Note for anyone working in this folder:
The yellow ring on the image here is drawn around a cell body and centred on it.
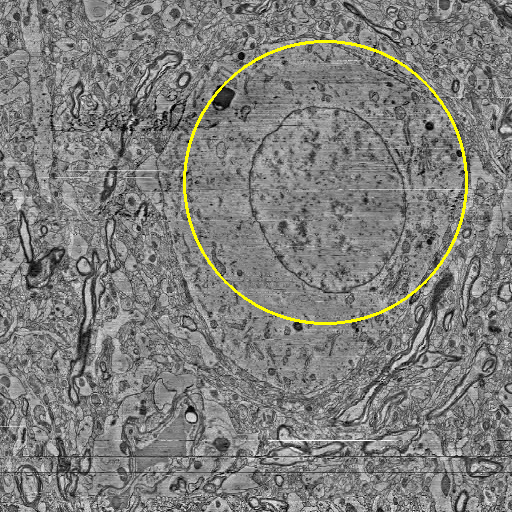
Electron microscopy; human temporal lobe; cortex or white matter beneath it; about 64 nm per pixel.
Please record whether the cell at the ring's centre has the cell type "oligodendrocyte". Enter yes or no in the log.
no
